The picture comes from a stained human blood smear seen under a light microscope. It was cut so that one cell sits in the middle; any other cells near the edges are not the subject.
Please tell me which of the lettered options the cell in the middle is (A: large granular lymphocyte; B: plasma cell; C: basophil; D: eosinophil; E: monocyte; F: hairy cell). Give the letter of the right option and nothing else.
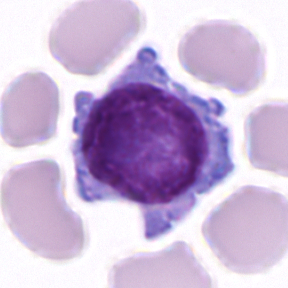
B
